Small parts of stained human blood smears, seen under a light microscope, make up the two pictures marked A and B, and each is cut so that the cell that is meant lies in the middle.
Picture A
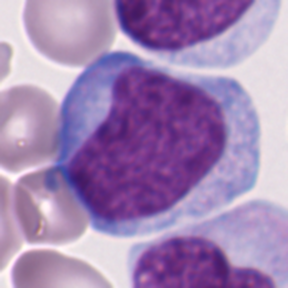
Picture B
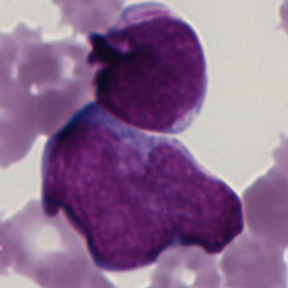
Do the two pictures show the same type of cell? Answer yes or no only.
no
